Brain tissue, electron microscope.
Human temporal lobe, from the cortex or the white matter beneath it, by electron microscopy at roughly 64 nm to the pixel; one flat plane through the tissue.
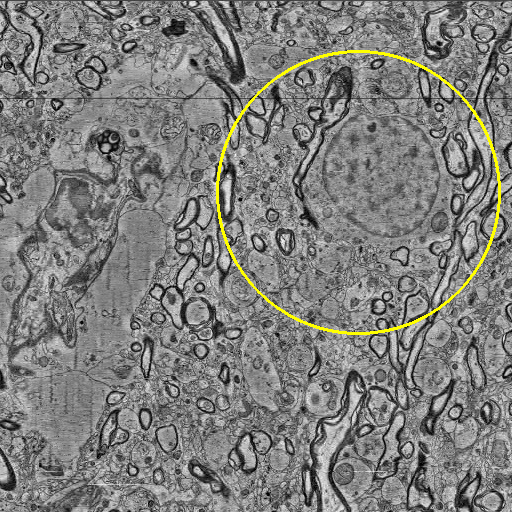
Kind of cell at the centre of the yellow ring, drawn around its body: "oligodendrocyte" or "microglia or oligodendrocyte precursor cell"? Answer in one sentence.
The ring's centre falls on an oligodendrocyte.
